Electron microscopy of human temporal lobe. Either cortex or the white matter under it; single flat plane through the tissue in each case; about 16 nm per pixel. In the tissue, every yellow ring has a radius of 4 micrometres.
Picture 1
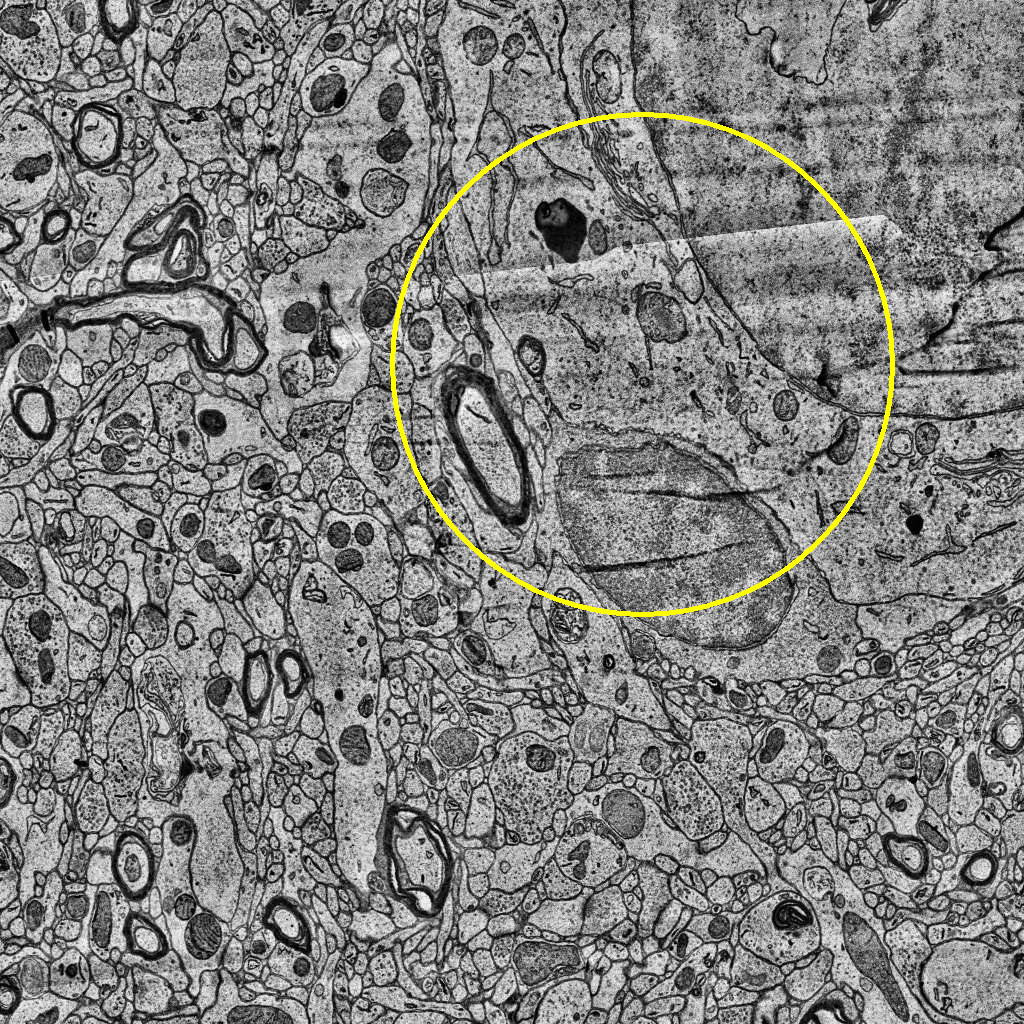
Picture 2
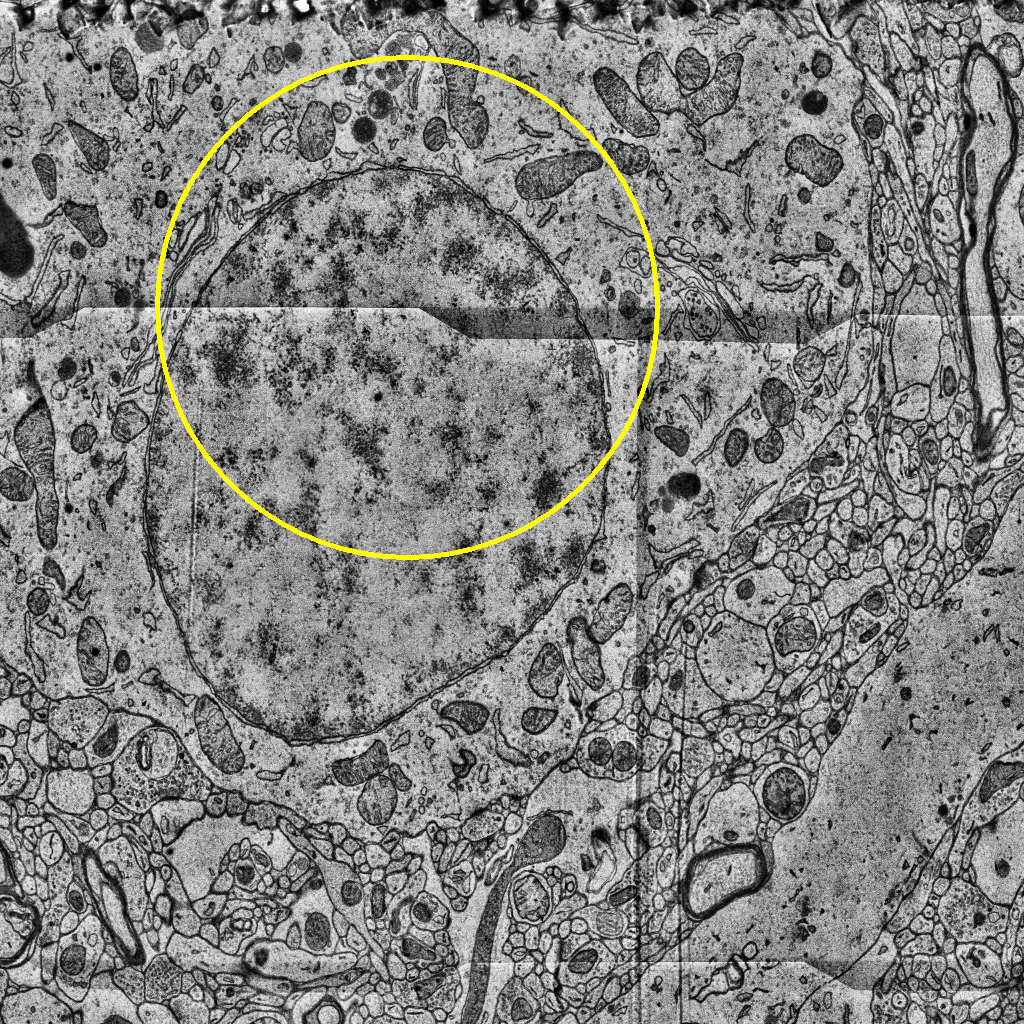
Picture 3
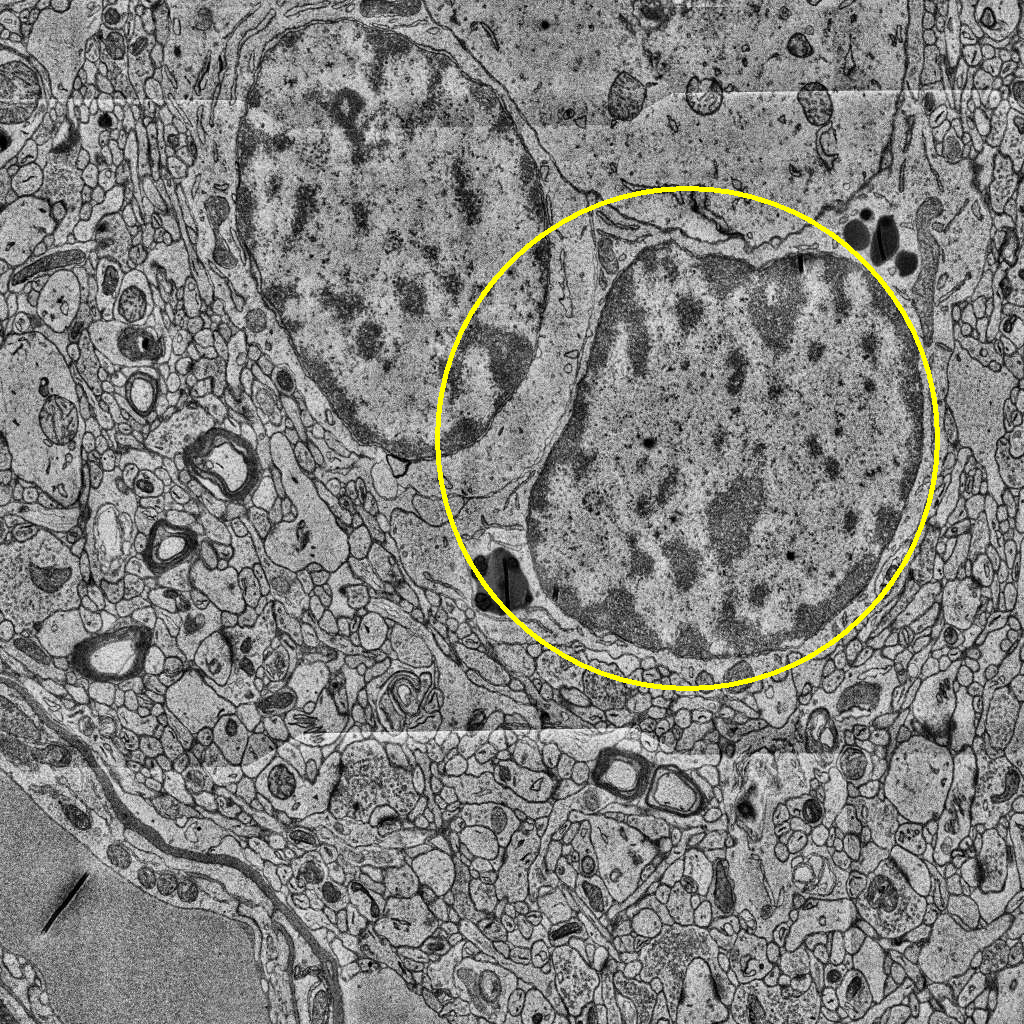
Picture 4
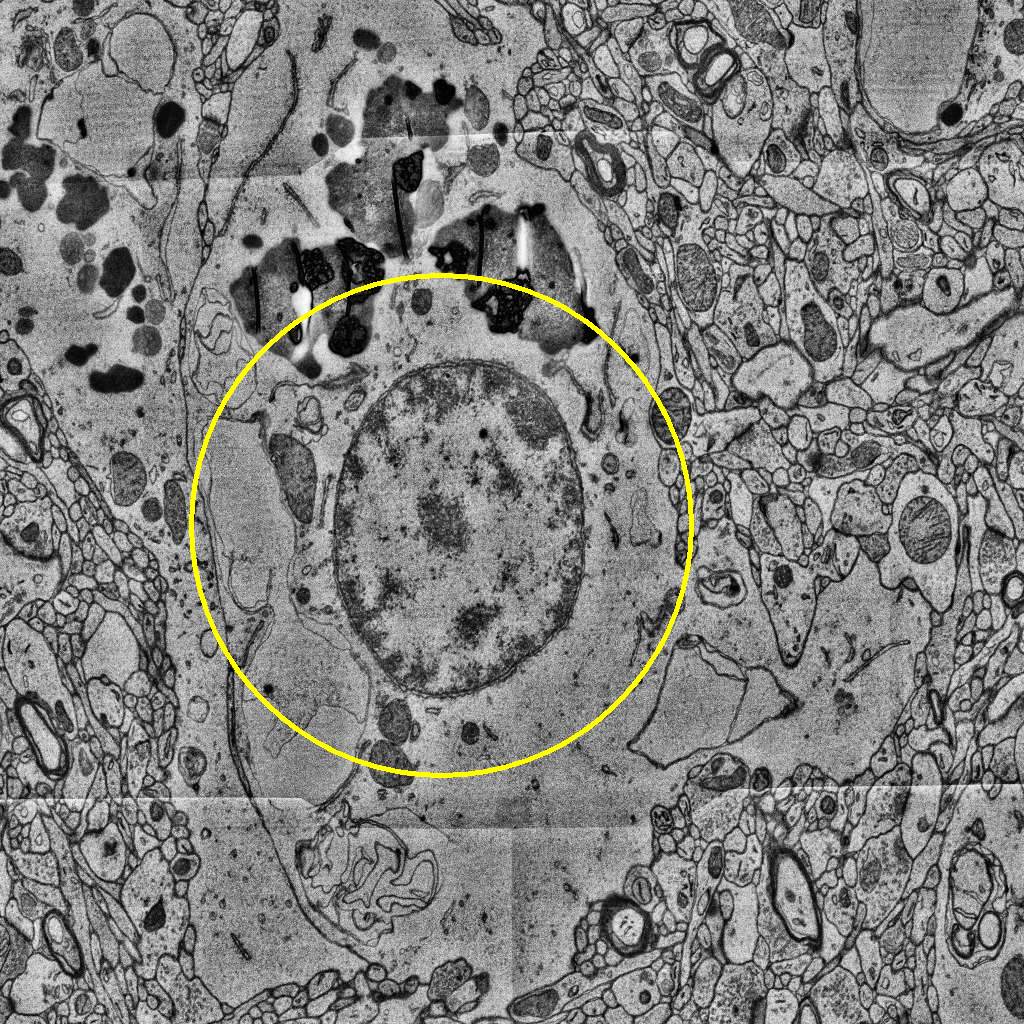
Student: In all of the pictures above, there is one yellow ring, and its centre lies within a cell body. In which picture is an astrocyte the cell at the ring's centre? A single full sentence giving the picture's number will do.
Picture number 4 has the centre of its ring lying inside the wanted cell.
